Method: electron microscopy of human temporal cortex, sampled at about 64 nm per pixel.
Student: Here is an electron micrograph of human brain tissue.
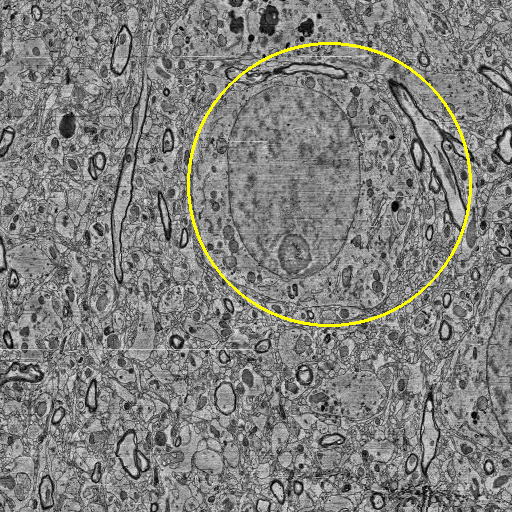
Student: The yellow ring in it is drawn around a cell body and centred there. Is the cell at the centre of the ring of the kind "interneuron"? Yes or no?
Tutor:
yes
